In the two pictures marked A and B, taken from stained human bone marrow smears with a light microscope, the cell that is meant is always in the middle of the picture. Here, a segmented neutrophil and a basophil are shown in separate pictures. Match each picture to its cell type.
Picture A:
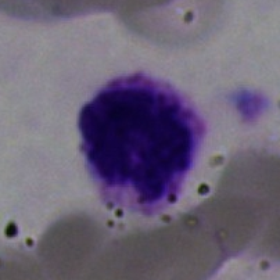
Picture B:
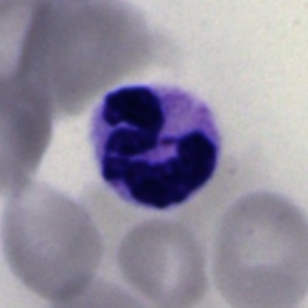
A: basophil
B: segmented neutrophil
